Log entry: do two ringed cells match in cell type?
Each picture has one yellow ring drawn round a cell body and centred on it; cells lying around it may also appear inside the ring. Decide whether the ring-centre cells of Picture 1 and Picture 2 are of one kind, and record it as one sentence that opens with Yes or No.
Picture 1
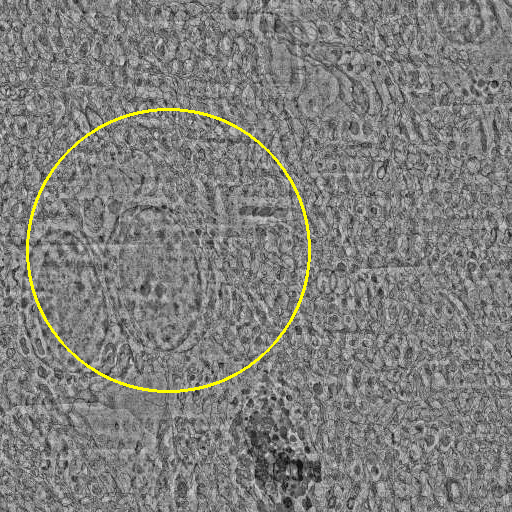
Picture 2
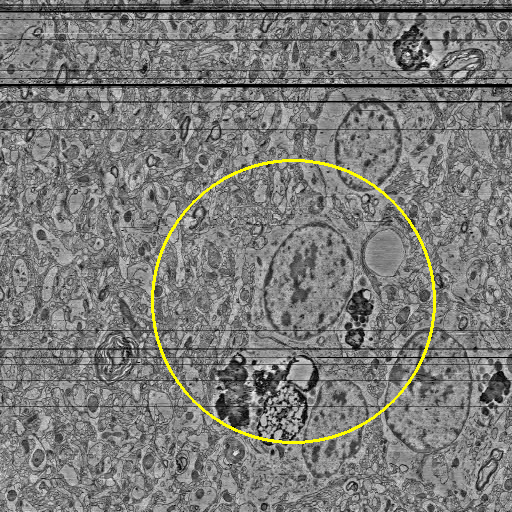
Yes, the cells at the ring centres of the two pictures belong to one kind.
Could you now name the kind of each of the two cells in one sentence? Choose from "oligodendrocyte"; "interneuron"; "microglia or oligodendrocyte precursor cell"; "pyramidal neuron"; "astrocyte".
In each picture the ringed cell is an astrocyte.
